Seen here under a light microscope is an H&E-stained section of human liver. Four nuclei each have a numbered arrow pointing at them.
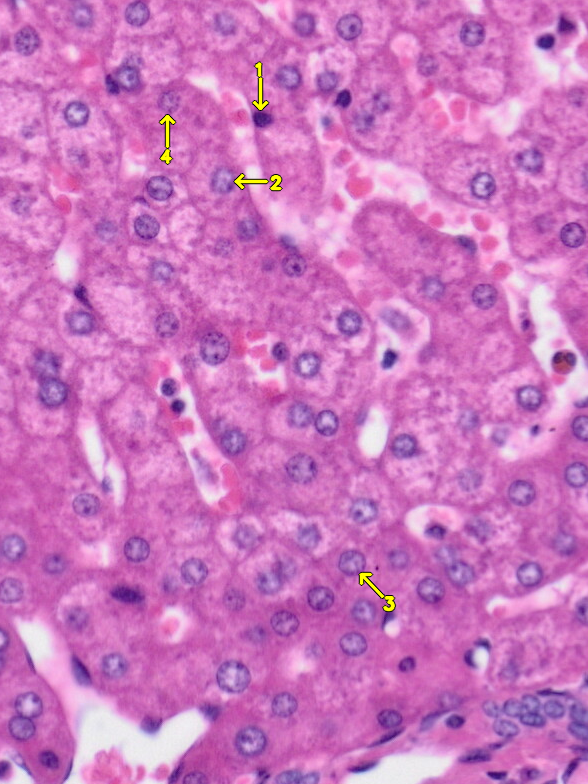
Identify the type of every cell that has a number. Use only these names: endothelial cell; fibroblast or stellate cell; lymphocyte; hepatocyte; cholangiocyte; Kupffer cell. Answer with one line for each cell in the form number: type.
1: fibroblast or stellate cell
2: hepatocyte
3: hepatocyte
4: hepatocyte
